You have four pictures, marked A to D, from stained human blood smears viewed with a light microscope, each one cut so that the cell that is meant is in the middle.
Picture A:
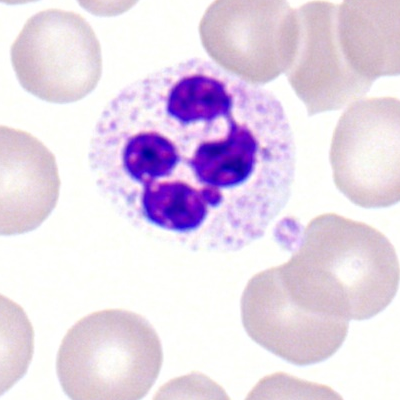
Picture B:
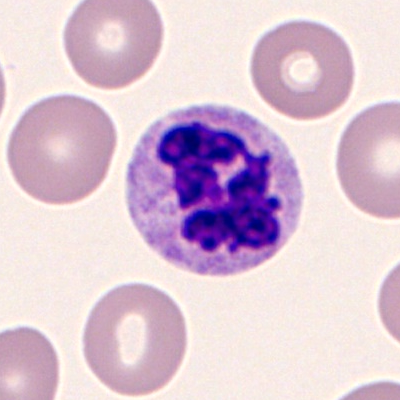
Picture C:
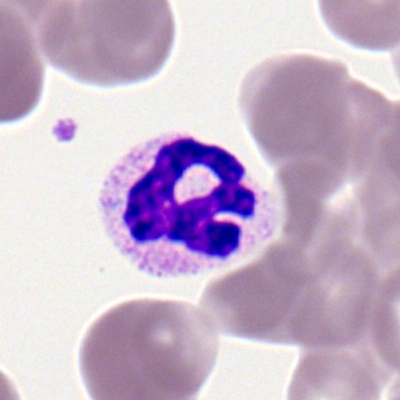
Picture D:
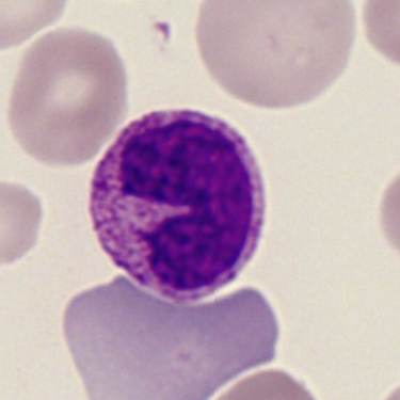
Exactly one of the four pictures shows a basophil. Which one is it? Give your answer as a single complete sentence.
The basophil is the one in picture D.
